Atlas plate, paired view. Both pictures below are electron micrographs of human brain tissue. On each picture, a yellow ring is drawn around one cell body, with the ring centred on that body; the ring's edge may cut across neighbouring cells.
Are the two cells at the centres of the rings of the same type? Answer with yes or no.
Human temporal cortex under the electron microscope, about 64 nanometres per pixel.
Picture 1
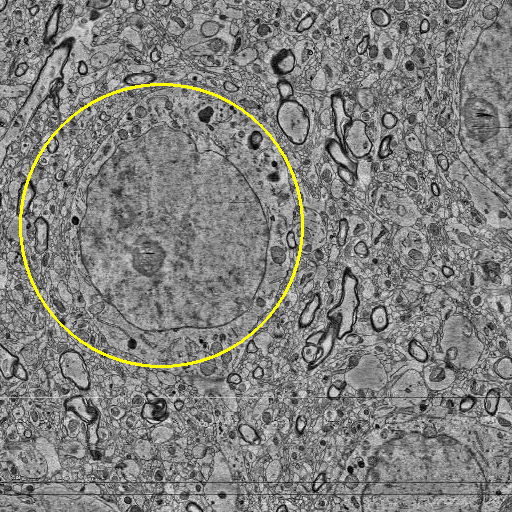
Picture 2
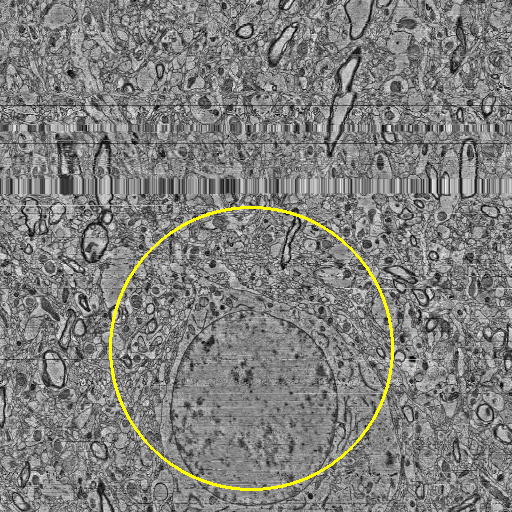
yes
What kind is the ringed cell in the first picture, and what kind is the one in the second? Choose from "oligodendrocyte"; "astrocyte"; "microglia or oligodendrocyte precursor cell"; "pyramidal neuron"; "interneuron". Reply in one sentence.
Each of the two cells is a pyramidal neuron.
